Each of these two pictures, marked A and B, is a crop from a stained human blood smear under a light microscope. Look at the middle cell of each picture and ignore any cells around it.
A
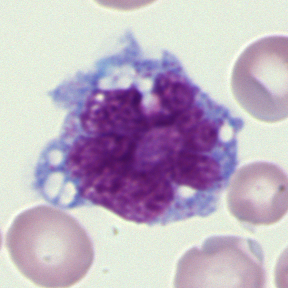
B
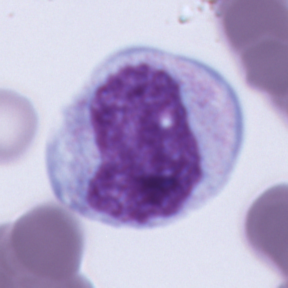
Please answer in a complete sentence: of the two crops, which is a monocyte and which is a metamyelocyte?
Crop A is to be read as a monocyte and crop B as a metamyelocyte.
